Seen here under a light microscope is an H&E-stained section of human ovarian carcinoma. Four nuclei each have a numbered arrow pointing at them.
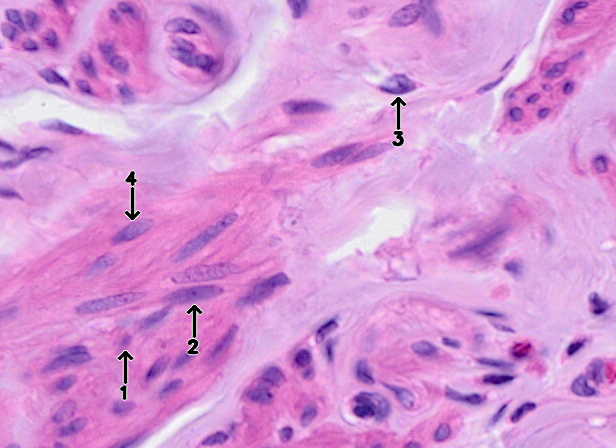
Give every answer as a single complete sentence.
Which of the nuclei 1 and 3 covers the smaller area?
The smaller nucleus is 1, and 3 covers roughly 4 times its area.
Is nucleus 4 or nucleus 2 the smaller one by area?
With nucleus 2 about 1.5 times its size, nucleus 4 is the smaller of the two.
